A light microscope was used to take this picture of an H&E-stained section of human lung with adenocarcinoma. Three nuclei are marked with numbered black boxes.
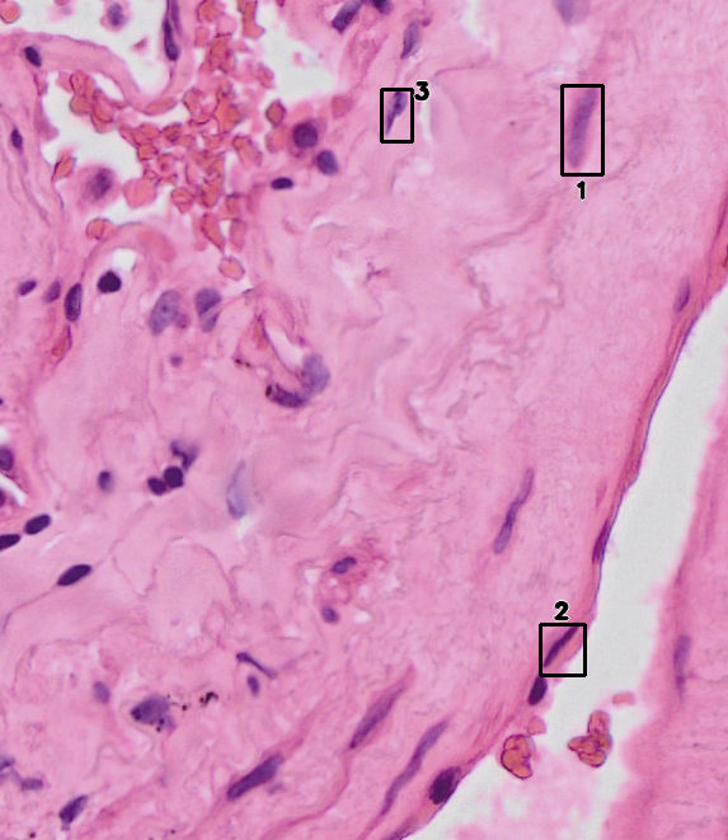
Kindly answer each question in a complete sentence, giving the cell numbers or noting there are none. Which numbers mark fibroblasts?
Cell 3 is the single numbered cell that is a fibroblast.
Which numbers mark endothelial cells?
It is cell 2, and no other numbered cell, that is an endothelial cell.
